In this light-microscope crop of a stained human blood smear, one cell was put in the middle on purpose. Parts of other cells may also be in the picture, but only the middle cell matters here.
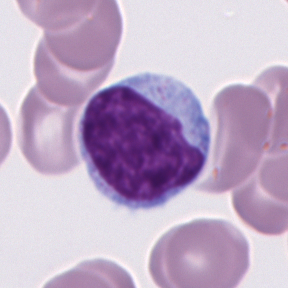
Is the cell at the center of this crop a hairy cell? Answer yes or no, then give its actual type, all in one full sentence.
No, the cell under consideration is a typical lymphocyte instead of a hairy cell.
